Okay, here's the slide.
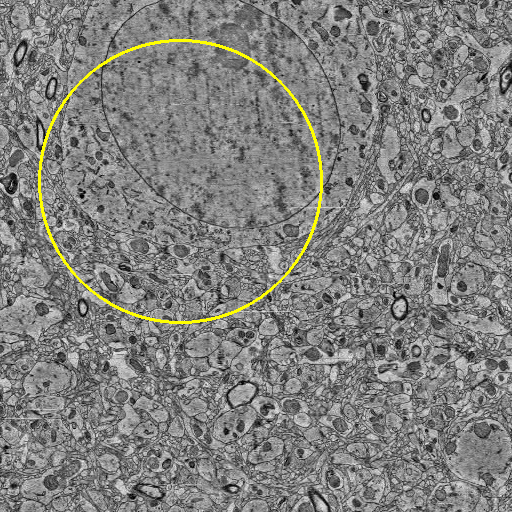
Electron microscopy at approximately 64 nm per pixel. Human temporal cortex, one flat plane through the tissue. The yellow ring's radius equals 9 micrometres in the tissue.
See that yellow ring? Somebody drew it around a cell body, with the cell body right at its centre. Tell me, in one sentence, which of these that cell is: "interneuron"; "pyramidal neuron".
The cell in the middle of the ring is a pyramidal neuron.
